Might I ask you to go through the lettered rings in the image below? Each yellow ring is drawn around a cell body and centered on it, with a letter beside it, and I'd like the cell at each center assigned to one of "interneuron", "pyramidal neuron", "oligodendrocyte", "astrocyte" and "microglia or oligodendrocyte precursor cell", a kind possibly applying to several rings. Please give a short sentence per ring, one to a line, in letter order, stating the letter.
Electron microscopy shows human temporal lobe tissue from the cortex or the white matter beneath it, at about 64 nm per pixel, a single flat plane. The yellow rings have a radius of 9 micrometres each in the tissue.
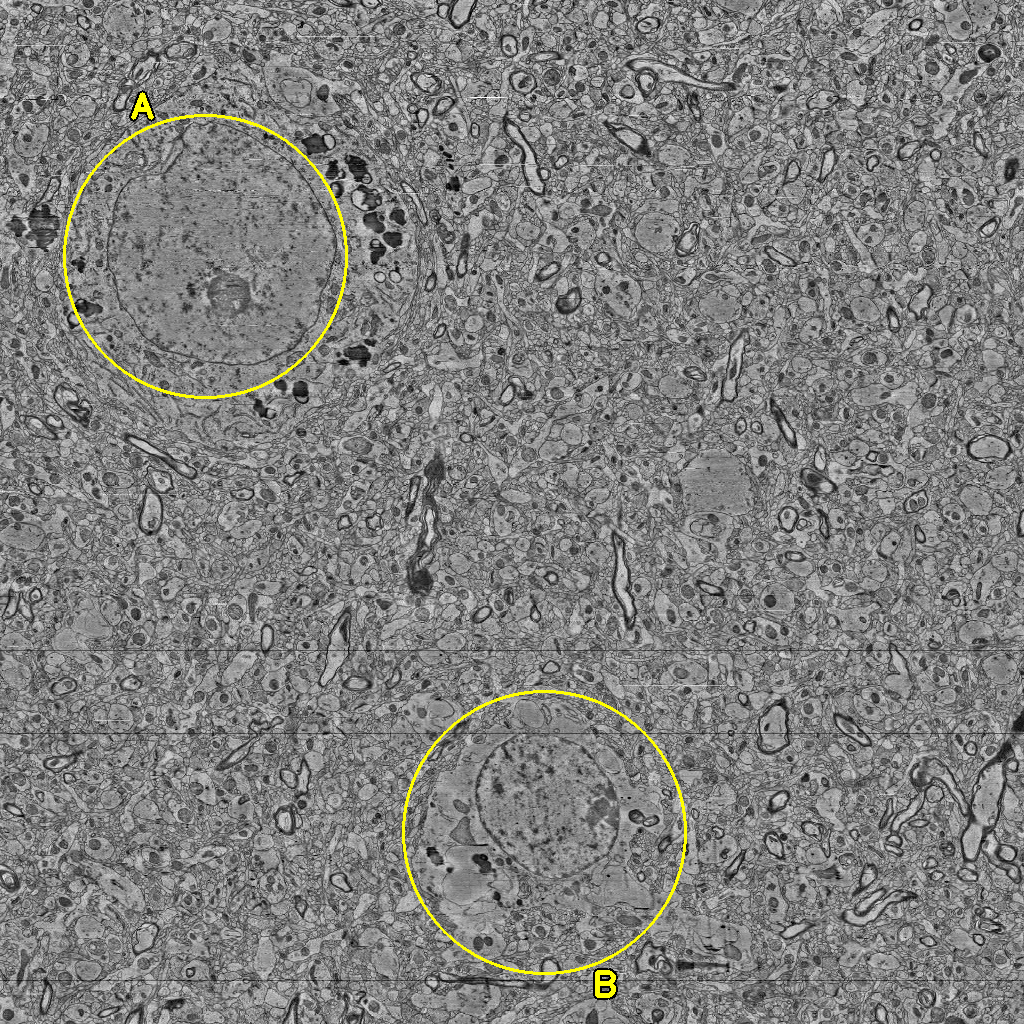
Ring A is centered on the body of a pyramidal neuron.
Ring B is centered on the body of an astrocyte.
